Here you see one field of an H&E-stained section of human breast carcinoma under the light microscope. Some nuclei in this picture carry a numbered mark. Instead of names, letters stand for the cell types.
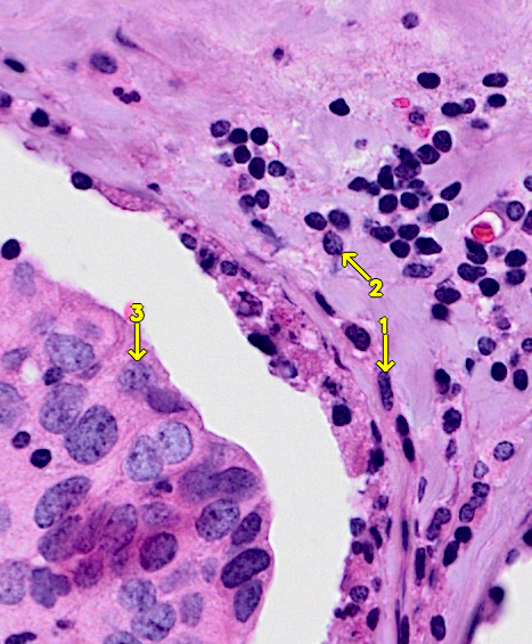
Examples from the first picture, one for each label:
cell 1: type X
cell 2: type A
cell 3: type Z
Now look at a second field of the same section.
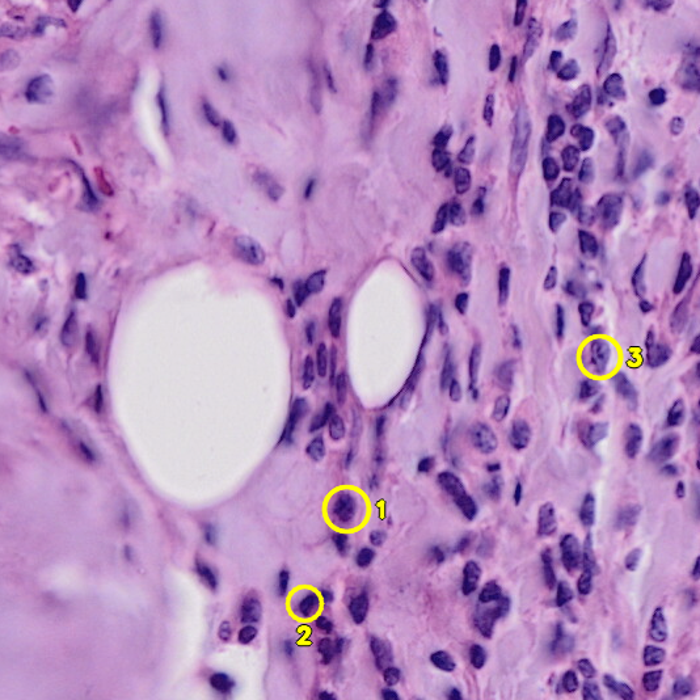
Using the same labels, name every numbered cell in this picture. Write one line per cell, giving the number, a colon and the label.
1: type X
2: type A
3: type A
